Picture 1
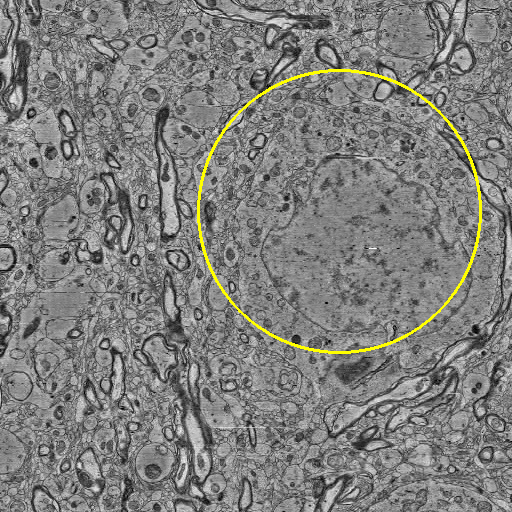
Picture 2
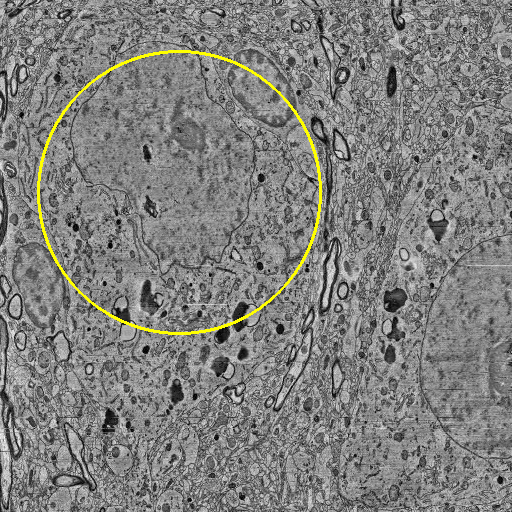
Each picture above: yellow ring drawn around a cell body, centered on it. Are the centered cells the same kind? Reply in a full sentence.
No, the two cells are two kinds of cell.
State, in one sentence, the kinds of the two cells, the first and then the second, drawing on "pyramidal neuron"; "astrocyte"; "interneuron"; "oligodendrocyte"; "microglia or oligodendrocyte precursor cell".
The ring in the second picture is centred on a pyramidal neuron, the ring in the first on an interneuron.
